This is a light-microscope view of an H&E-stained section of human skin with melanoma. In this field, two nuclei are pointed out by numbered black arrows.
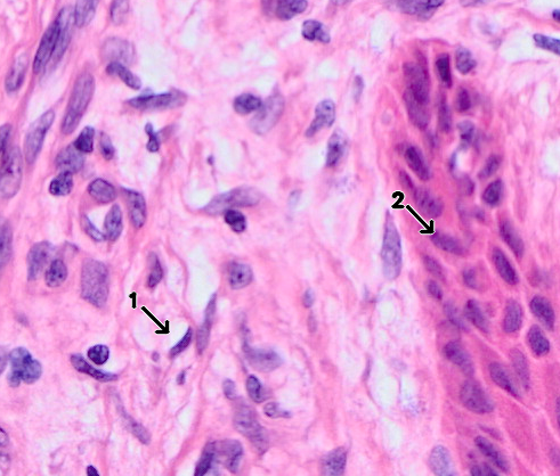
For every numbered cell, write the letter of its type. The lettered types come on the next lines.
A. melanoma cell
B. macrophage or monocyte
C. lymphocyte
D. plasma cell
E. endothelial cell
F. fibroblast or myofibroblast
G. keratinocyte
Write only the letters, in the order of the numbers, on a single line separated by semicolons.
F; G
